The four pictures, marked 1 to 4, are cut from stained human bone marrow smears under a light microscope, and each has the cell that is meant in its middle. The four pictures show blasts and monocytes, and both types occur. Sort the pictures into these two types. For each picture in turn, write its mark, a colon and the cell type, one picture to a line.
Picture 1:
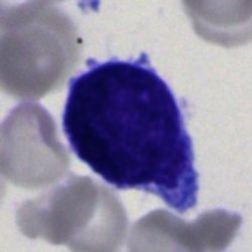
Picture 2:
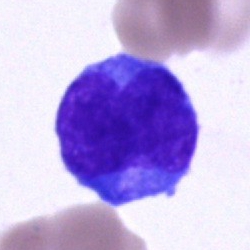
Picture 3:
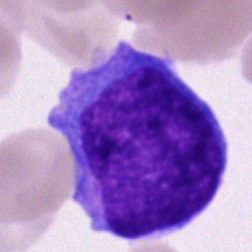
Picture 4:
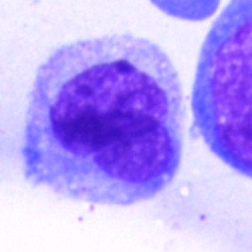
1: blast
2: blast
3: blast
4: monocyte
